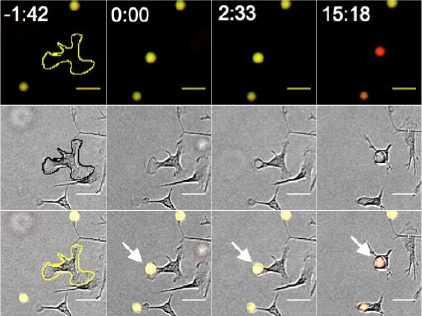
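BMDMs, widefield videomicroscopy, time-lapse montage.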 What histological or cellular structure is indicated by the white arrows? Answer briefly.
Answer: Particles undergoing phagocytosis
